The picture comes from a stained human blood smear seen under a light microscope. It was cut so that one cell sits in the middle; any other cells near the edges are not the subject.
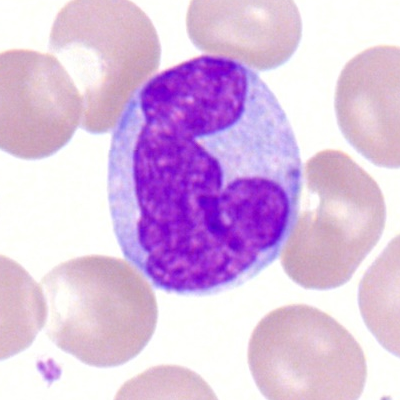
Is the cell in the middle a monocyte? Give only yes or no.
yes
